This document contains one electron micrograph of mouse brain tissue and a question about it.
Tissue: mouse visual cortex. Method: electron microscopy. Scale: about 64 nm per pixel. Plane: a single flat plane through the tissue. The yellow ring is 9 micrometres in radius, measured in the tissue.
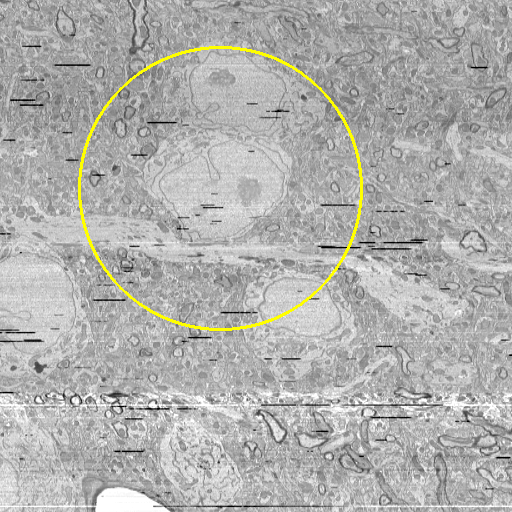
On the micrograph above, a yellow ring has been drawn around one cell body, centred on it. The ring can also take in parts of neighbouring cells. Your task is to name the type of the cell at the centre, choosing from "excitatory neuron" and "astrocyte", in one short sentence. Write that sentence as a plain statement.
Here the ring is centred on an excitatory neuron.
